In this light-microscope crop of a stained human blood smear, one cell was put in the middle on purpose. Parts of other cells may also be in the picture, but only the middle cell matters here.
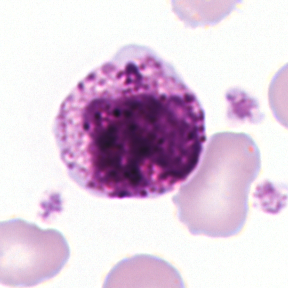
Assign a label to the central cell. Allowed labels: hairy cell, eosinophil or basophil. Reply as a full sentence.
The target cell in the middle of the crop is a basophil.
